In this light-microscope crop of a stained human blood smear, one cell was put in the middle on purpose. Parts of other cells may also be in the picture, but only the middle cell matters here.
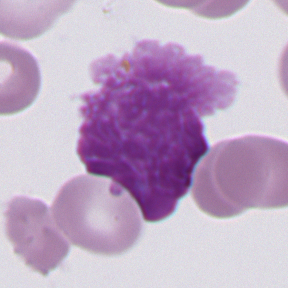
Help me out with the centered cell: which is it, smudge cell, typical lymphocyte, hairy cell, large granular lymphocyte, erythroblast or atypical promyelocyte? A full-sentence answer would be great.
Here the centrally located cell is a smudge cell.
